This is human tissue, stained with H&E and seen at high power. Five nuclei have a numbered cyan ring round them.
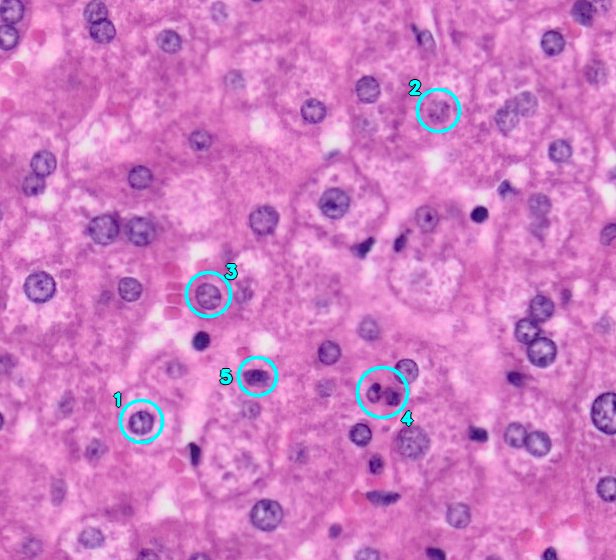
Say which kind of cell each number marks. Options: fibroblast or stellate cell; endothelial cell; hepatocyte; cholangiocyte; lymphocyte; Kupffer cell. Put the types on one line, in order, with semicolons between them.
hepatocyte; hepatocyte; hepatocyte; Kupffer cell; fibroblast or stellate cell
